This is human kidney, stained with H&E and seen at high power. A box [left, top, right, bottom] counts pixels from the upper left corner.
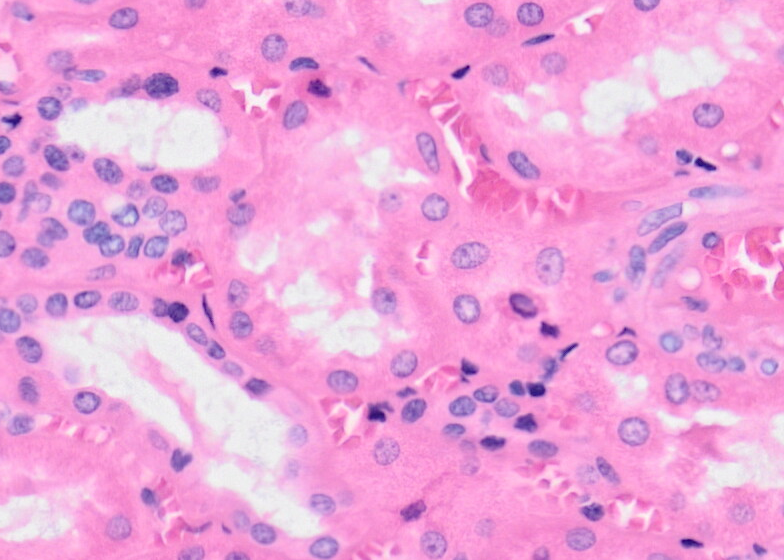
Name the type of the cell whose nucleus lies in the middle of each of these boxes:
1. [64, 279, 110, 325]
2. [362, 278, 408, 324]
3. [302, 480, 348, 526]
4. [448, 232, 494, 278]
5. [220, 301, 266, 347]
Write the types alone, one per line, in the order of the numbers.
collecting duct cell
proximal tubule cell
collecting duct cell
proximal tubule cell
proximal tubule cell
